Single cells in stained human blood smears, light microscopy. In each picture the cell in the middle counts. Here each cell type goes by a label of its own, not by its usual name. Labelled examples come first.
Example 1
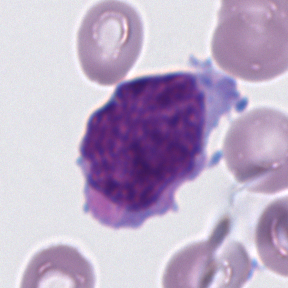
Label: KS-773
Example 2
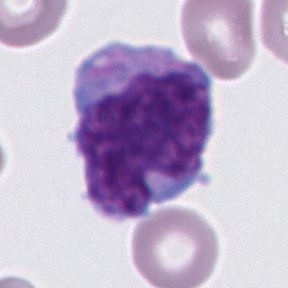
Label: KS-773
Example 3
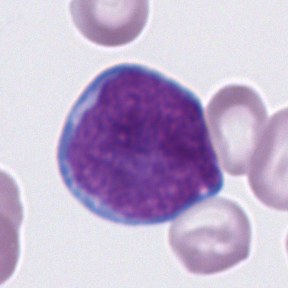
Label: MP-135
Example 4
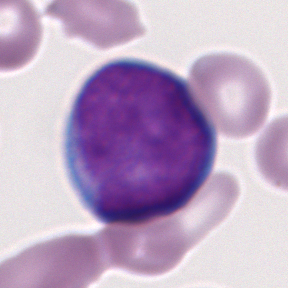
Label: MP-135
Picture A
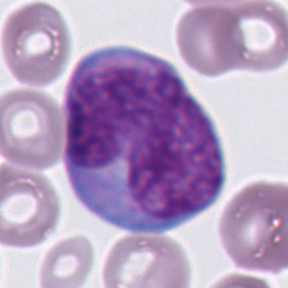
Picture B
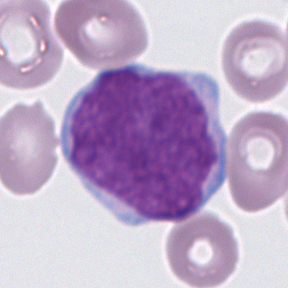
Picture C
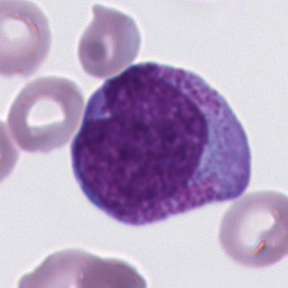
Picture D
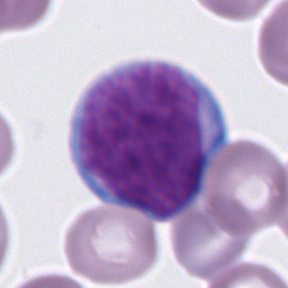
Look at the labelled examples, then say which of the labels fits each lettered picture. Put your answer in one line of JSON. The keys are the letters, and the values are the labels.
{"A": "KS-773", "B": "MP-135", "C": "KS-773", "D": "MP-135"}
